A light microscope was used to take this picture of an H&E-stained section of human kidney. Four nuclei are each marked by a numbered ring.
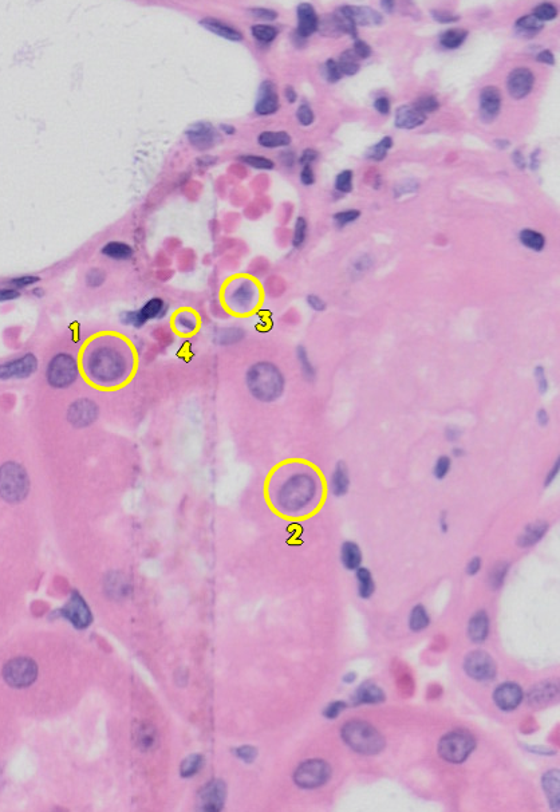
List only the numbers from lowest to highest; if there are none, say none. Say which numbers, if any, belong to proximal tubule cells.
1, 2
